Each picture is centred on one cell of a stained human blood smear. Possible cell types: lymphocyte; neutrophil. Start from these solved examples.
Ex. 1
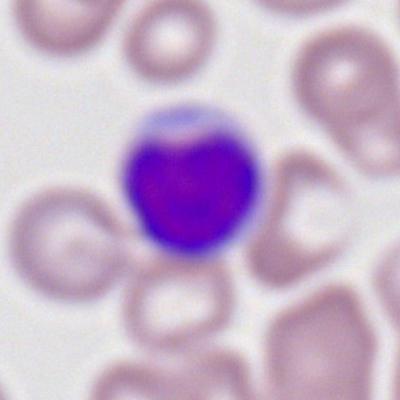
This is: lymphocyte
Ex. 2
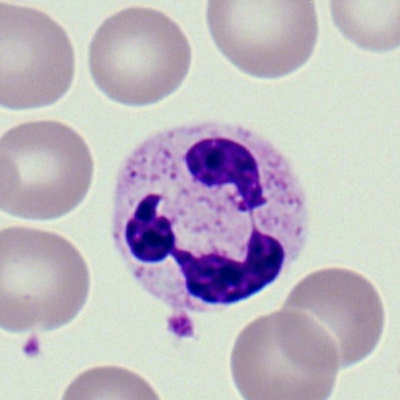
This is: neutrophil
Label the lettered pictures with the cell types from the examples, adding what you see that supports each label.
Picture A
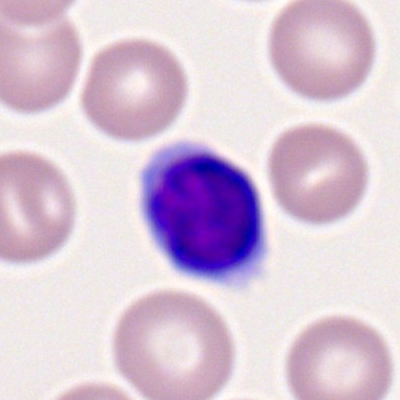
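Label: lymphocyte. Only a scant rim of pale blue cytoplasm is visible around the nucleus.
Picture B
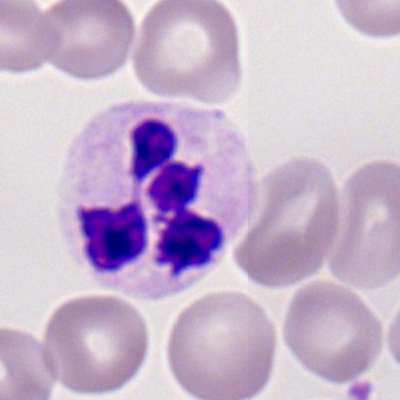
Label: neutrophil. The nucleus is divided into four separate lobes.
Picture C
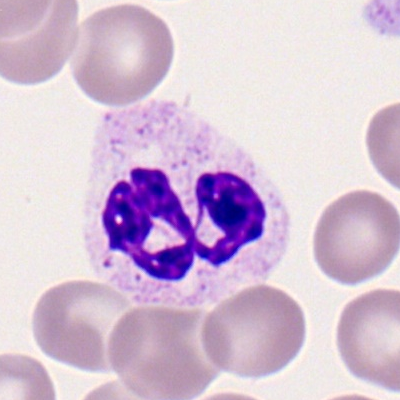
Label: neutrophil. The nucleus is divided into two main lobes lying side by side.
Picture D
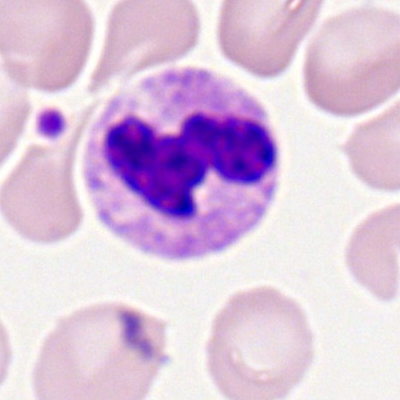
Label: neutrophil. The cytoplasm is plentiful and pale pinkish-lilac.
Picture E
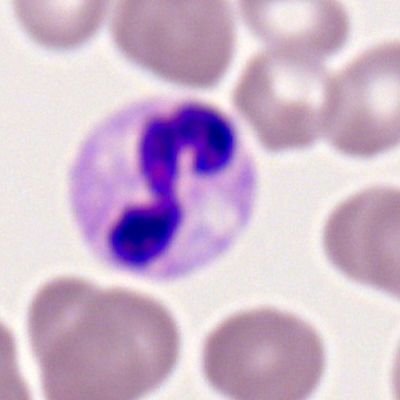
Label: neutrophil. The nucleus is a curved band bent into an S shape.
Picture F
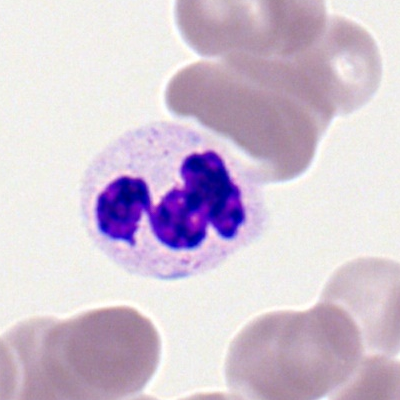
Label: neutrophil. The leftmost lobe is joined to the rest of the nucleus by a narrow bridge.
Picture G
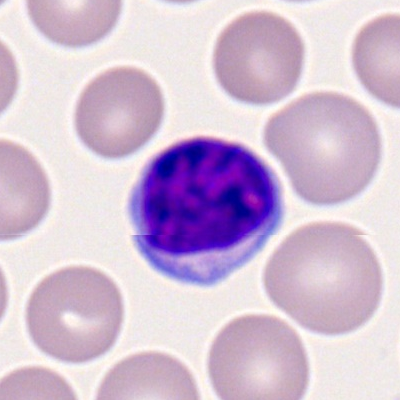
Label: lymphocyte. The cytoplasm is a narrow rim that is widest along the lower edge of the cell.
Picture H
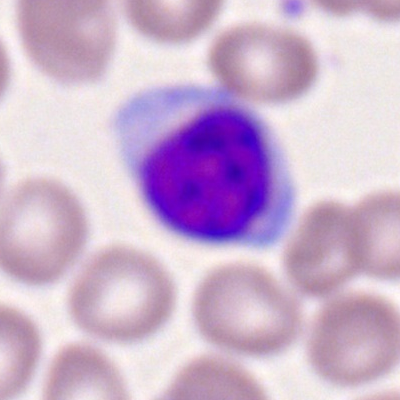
Label: lymphocyte. The nucleus fills most of the cell, leaving a modest amount of cytoplasm.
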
